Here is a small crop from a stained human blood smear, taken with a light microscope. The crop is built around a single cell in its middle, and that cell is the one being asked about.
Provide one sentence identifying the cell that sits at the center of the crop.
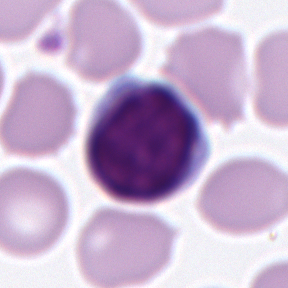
The cell nearest the centre of this crop is a typical lymphocyte.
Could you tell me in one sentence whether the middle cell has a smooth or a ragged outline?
A smooth, projection-free outline is what this cell has.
